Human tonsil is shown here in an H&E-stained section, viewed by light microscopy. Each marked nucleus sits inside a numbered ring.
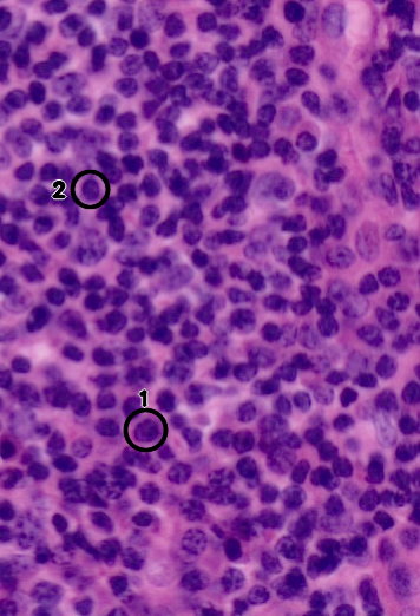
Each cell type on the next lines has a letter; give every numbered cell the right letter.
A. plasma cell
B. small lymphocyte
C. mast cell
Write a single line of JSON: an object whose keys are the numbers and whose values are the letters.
{"1": "A", "2": "B"}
